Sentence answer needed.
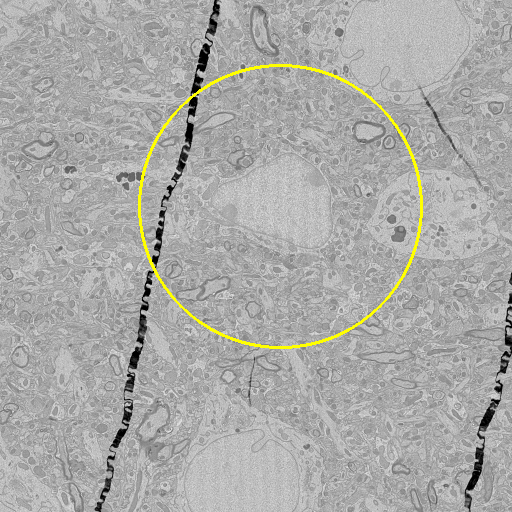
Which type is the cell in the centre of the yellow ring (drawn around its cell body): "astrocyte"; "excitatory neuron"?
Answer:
In the centre of the yellow ring is an astrocyte.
